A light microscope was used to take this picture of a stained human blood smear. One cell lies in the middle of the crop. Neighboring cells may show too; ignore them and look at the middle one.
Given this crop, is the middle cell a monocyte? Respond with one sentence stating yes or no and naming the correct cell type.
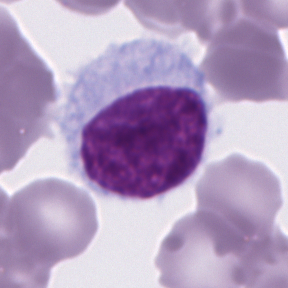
No, not a monocyte here; the centered cell is a hairy cell.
